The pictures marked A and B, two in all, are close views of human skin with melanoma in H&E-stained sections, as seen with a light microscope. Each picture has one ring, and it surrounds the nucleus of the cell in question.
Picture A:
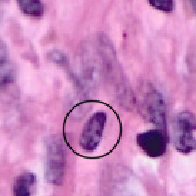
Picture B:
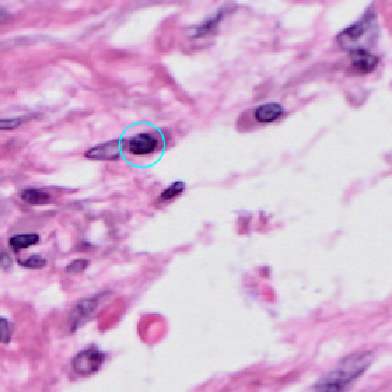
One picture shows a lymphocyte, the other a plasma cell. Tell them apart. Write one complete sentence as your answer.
It is picture A that shows a lymphocyte, and picture B that shows a plasma cell.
